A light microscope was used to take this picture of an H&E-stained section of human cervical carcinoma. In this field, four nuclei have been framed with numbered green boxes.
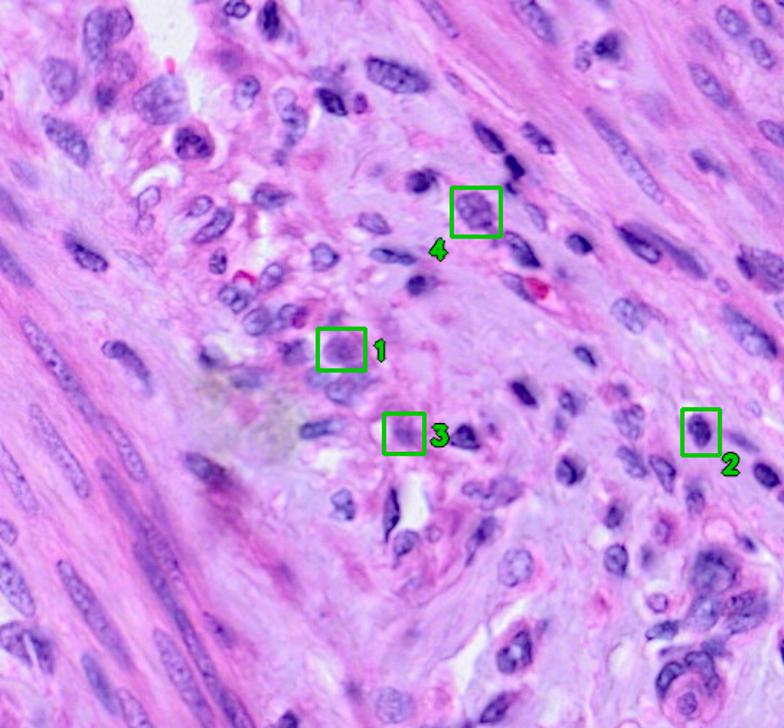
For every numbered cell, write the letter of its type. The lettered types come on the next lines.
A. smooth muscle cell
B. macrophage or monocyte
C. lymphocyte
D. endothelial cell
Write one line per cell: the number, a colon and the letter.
1: D
2: C
3: D
4: B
